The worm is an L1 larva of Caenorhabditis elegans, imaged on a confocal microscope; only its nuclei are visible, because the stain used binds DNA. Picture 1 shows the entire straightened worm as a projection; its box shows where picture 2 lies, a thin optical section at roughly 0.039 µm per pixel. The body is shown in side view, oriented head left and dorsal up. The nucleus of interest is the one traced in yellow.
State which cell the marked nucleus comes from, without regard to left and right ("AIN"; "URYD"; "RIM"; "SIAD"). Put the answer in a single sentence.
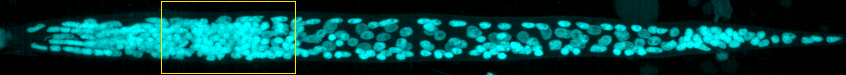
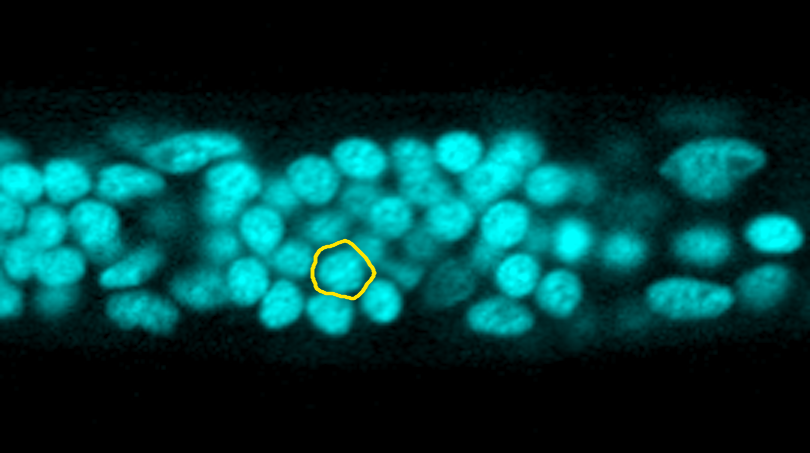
The marked cell is SIAD, a neuron.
